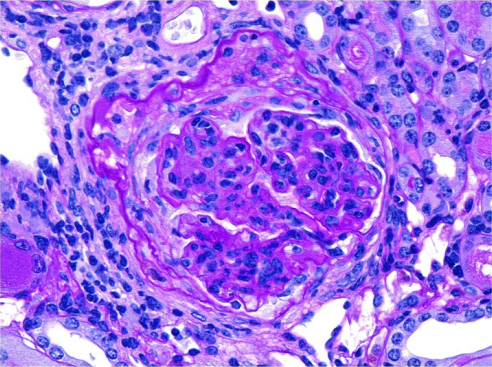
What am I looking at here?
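Kidney cortex with a glomerulus bearing a crescent. The capillary tuft is crowded with dark nuclei and is compressed within a thick rim of layered cells and magenta-pink matrix that fills the space between tuft and capsule. Around the structure the interstitium is expanded and packed with many small dark round nuclei, separating the tubules. Nearby tubules are smaller and more widely spaced than normal, some with flattened lining cells, and some contain pink homogeneous material. Wavy magenta fibrous strands run around the glomerulus.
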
